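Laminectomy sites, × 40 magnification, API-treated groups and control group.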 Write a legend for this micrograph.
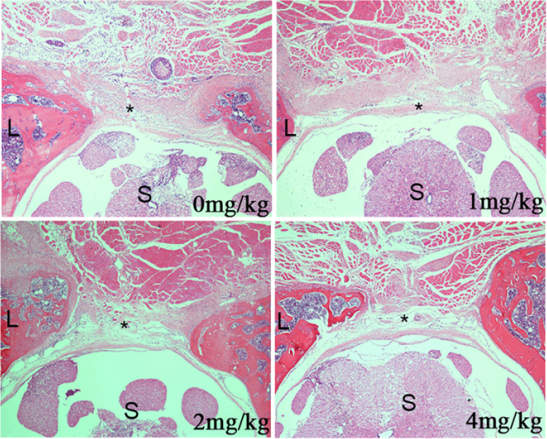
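Deep pink bone, with purple marrow spaces, lies at each side. A rounded spinal cord lies below, surrounded by a pale space. Pale pink fibrous tissue bridges the bony gap and lies above the cord, with bundles of skeletal muscle above it. The amount and density of this fibrous tissue varies among the four images.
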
